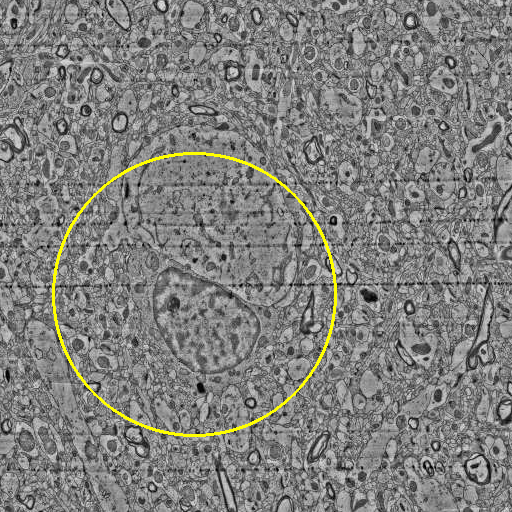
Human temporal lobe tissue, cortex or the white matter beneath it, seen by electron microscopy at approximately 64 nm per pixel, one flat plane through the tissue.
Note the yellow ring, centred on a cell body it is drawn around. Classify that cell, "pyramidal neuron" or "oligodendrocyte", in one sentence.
The cell the ring is centred on is an oligodendrocyte.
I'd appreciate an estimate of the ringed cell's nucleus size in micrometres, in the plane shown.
In this plane, approximately 8 by 6 micrometers.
